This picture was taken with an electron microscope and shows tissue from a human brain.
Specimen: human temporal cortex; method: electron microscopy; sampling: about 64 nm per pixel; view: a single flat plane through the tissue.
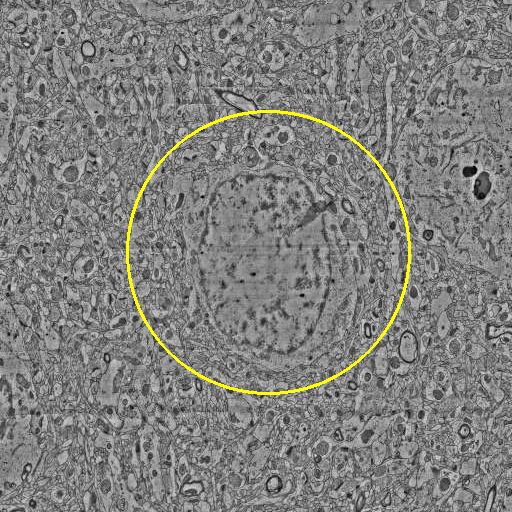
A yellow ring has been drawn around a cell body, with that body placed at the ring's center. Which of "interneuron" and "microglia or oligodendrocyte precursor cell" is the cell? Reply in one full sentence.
In this picture, an interneuron is the cell at the center of the yellow ring.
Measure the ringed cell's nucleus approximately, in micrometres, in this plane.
In this plane, roughly 12 by 9 micrometres.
